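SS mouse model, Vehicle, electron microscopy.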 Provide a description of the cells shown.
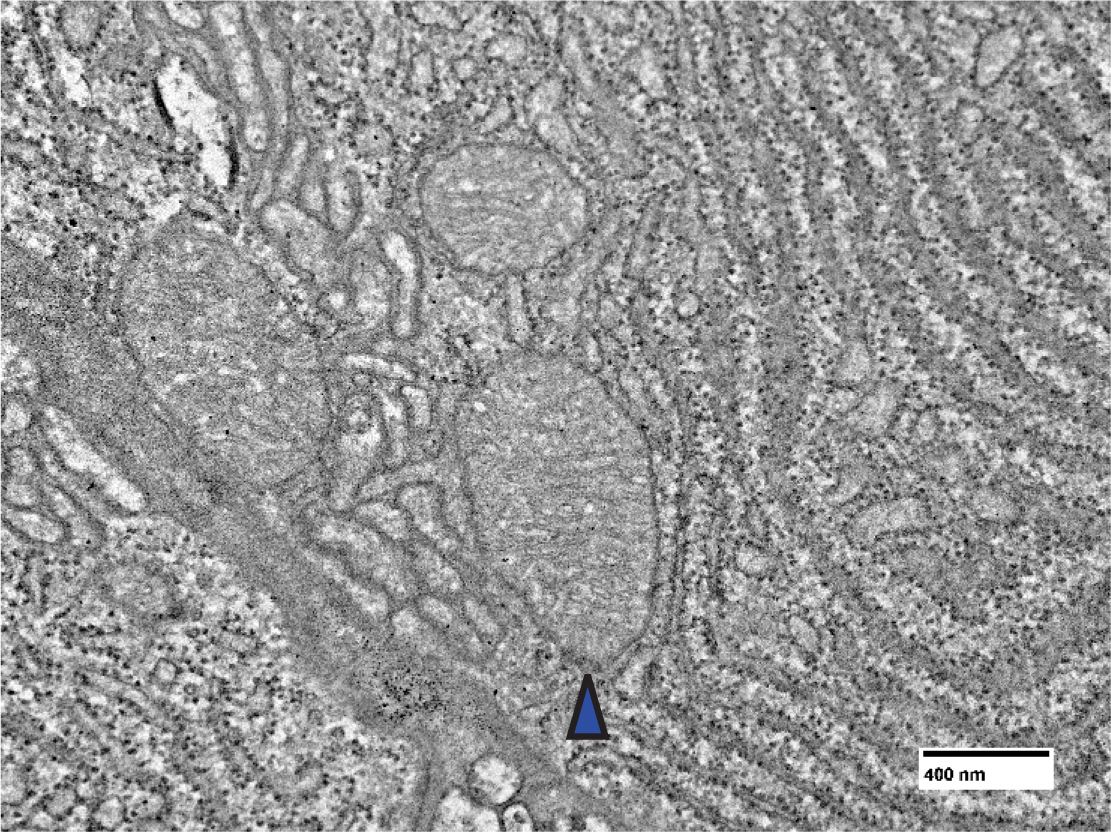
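Electron micrograph of cytoplasm in which parallel stacks of ribosome-studded rough endoplasmic reticulum cisternae fill much of the field and curve around oval mitochondria. The mitochondria have a double outer boundary and fine, closely packed cristae across their matrix. A denser band of cytoplasm runs along the left, bordering a neighbouring cell.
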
